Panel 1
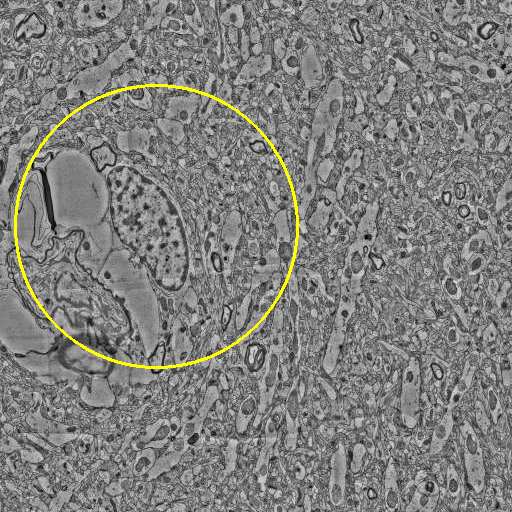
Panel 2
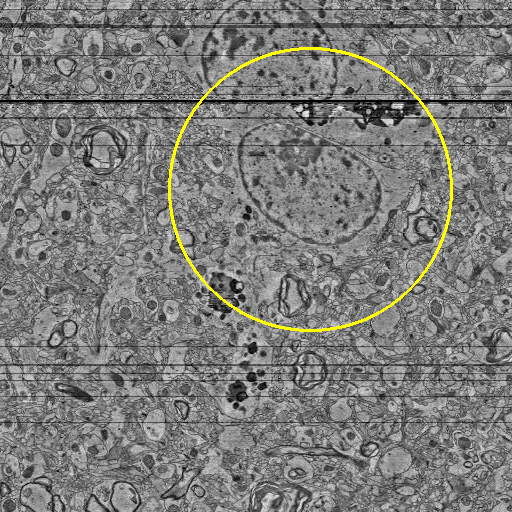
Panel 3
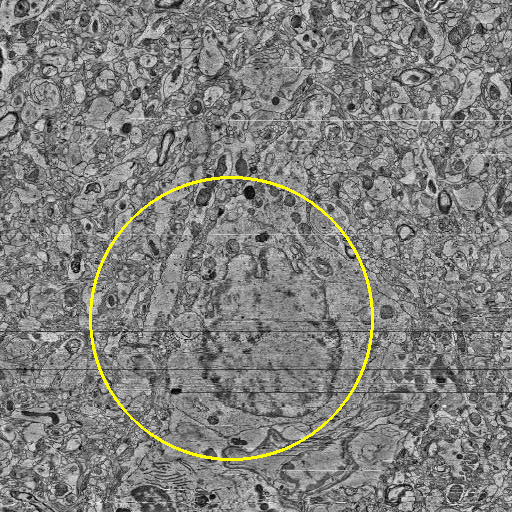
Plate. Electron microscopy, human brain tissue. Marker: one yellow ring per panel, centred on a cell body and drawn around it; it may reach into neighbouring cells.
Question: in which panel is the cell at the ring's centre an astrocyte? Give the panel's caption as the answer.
Panel 2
